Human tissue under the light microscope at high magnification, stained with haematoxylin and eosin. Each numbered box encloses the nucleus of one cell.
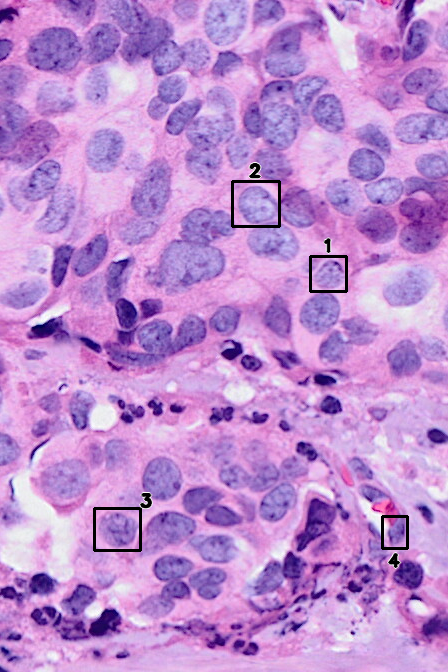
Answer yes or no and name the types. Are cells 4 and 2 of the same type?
No, rather, cell 4 is an endothelial cell and cell 2 is a carcinoma cell.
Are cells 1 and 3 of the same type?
Yes, the numbered cells 1 and 3 are both carcinoma cells.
